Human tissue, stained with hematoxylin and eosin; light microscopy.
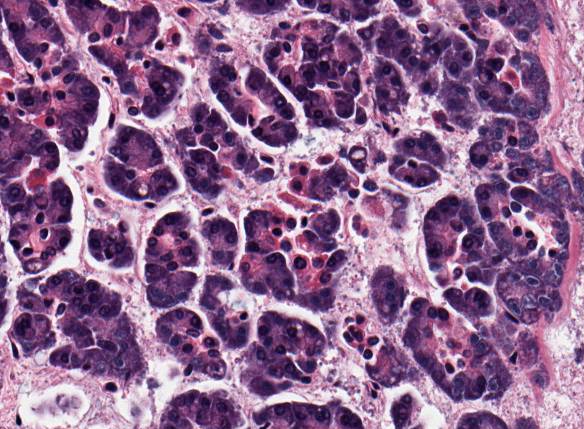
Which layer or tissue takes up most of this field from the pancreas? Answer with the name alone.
exocrine pancreas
